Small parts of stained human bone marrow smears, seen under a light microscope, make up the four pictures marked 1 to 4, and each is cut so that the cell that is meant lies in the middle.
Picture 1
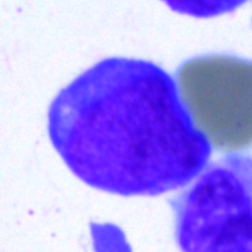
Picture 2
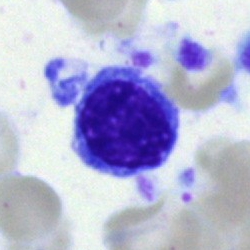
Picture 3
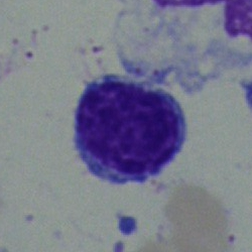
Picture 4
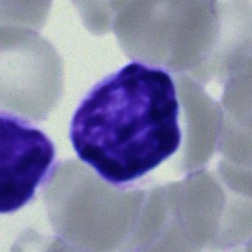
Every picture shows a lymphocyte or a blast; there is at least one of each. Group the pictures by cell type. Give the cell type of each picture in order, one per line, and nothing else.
blast
lymphocyte
lymphocyte
lymphocyte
